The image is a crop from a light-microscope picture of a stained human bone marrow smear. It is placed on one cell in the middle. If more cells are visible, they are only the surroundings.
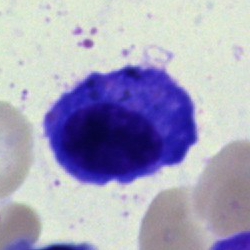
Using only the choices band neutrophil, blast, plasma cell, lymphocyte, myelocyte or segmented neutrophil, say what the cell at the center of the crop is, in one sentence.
The cell the crop is centered on is a plasma cell.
